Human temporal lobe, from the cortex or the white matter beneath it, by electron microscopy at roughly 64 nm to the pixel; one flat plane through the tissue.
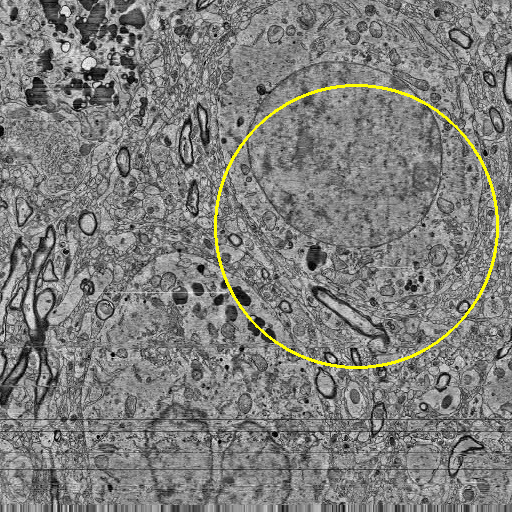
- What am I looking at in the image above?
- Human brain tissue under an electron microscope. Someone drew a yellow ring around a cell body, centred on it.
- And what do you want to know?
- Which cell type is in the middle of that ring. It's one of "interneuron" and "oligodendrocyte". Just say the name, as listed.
interneuron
